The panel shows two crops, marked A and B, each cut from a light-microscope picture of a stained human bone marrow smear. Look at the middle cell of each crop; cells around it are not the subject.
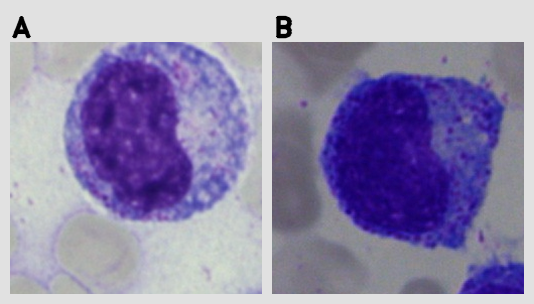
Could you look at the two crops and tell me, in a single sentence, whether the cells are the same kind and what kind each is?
Yes, the cells under consideration in both crops are promyelocytes.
